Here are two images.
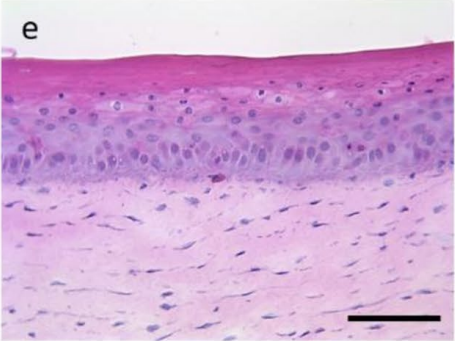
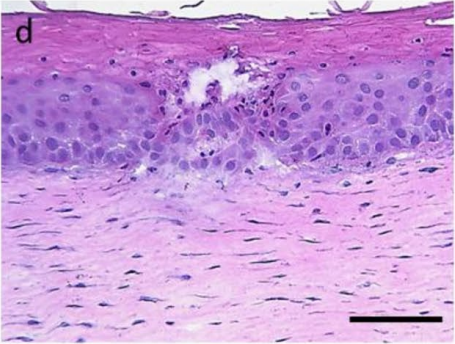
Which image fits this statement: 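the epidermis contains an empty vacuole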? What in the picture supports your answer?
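The second image. First image: the epidermal layers are continuous without clear spaces. Second image: an irregular empty space interrupts the upper epidermis with disordered cells around it.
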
